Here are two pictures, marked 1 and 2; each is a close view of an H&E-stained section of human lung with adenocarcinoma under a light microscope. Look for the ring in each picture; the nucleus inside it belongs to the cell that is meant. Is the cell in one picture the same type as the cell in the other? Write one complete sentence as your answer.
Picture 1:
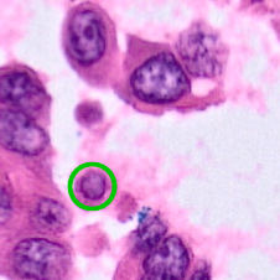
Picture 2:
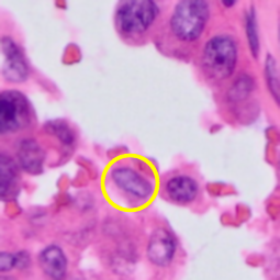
Yes, both cells are “macrophages or monocytes”.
